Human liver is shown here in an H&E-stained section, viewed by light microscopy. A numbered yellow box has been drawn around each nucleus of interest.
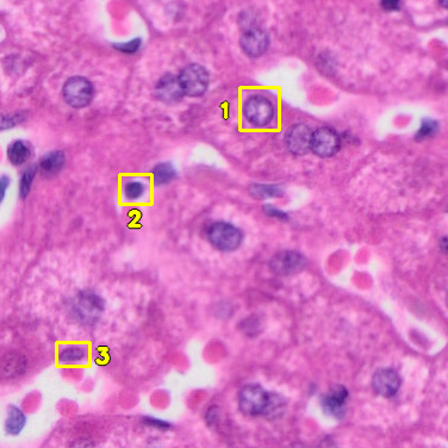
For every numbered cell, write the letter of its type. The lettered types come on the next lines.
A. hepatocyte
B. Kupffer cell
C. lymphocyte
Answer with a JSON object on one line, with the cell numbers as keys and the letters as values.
{"1": "A", "2": "C", "3": "B"}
